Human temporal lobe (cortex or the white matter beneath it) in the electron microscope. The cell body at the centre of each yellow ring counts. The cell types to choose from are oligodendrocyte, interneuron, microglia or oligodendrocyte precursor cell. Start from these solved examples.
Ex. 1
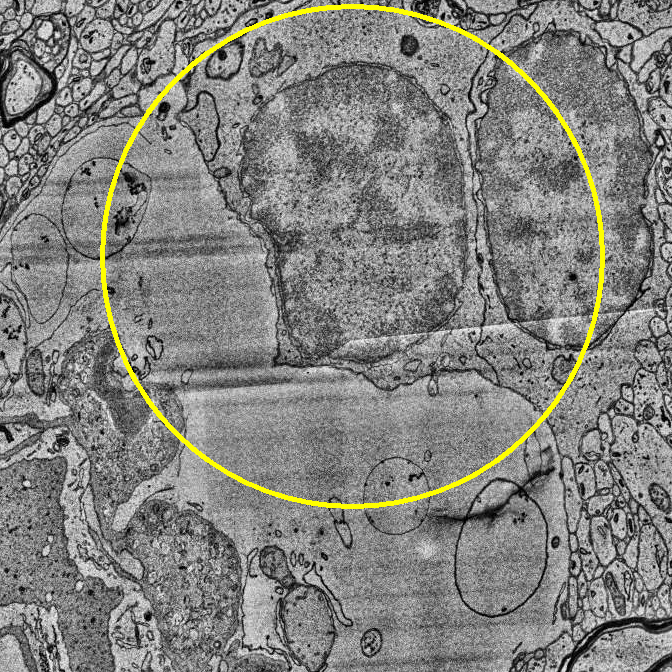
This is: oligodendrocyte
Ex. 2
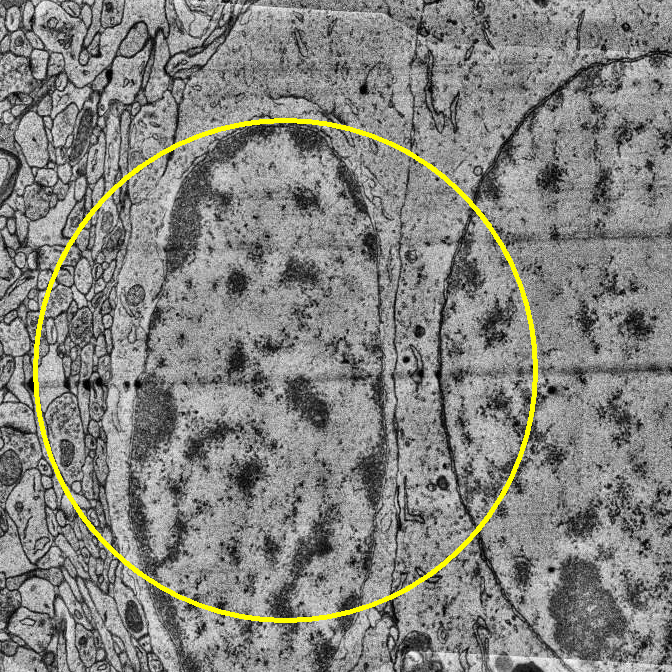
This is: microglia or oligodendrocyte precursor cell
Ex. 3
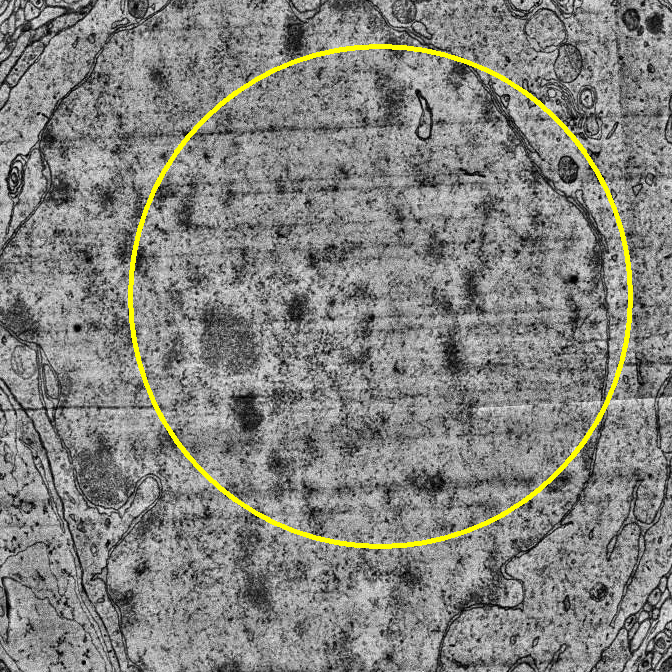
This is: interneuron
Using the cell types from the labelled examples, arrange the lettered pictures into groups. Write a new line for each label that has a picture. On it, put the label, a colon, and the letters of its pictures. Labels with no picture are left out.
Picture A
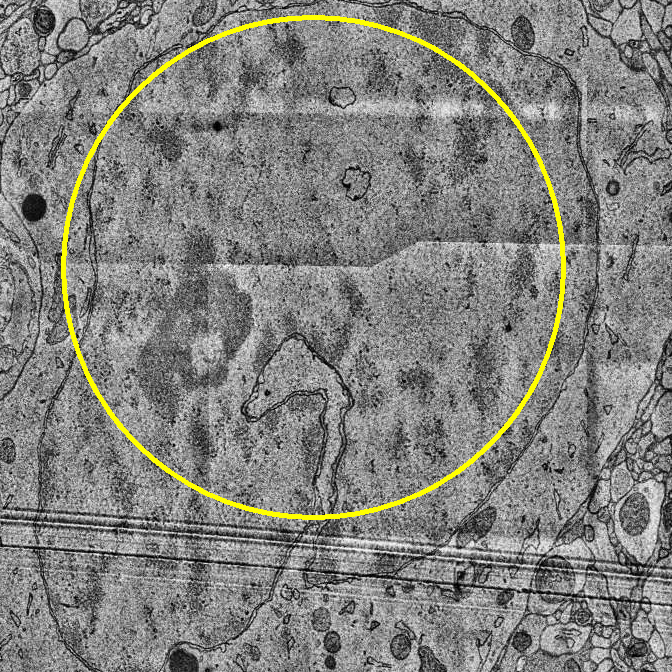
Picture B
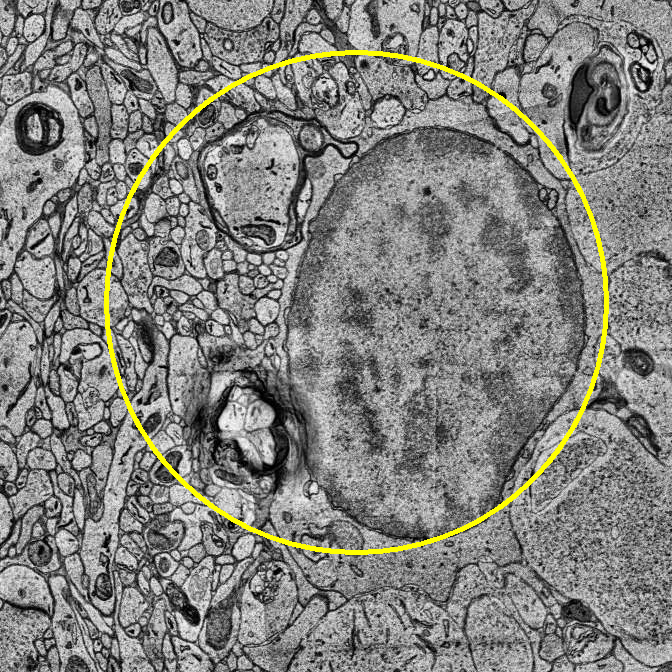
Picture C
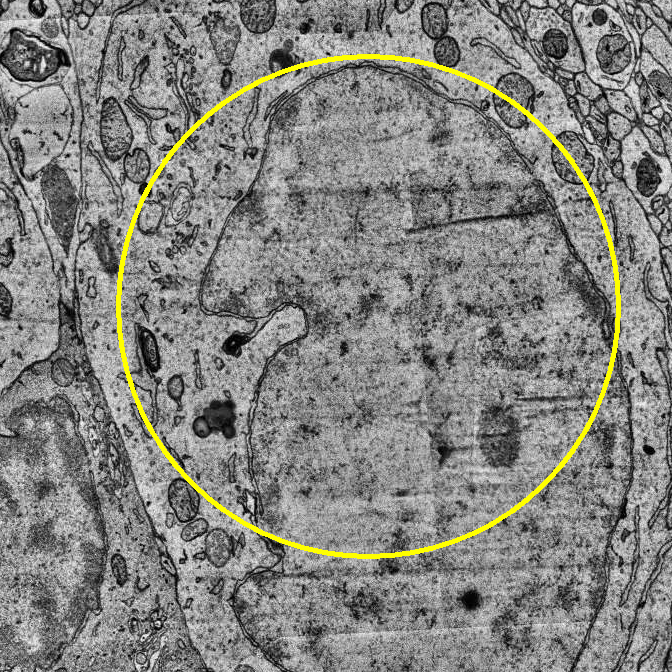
oligodendrocyte: B
interneuron: A, C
